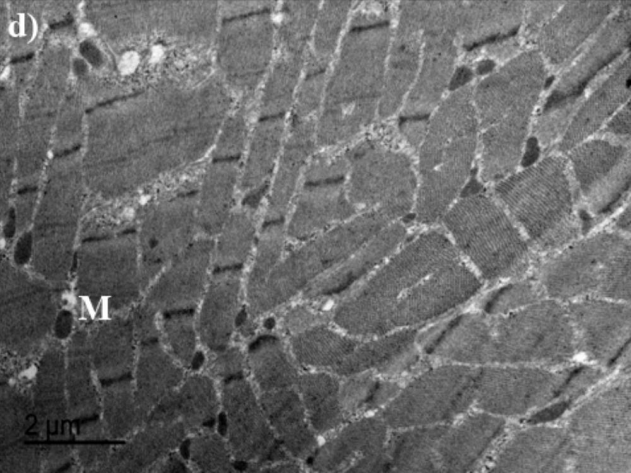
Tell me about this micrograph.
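This is skeletal muscle fiber in which bundles of myofibrils are cut partly along and partly across their length, showing fine striations. Short dark transverse lines mark the sarcomere boundaries, and small dark rounded mitochondria lie between the bundles. The myofibrils are separated by conspicuous pale spaces containing fine granular material, so they appear as distinct blocks. Toward one side the striations change direction, giving a less uniform arrangement across the field.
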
